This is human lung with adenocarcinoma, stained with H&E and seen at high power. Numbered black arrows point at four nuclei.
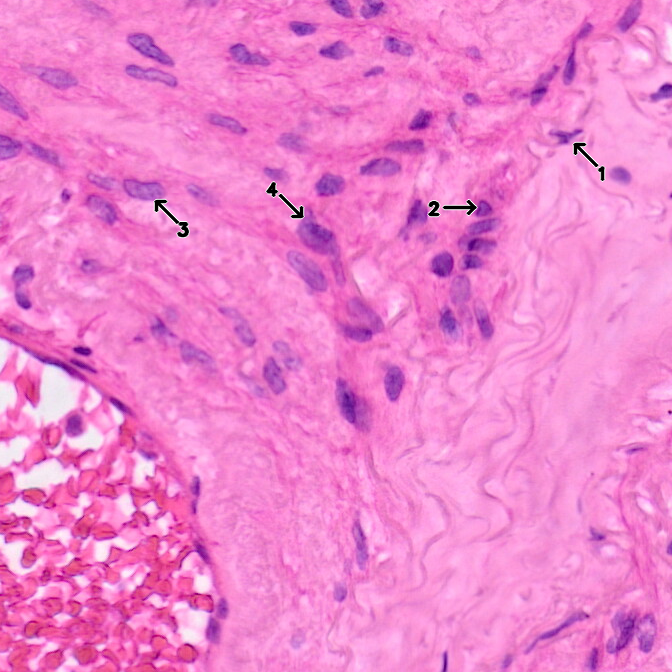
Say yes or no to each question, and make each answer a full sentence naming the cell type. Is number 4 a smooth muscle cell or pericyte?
Yes, the cell pointed out as number 4 is a smooth muscle cell or pericyte.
